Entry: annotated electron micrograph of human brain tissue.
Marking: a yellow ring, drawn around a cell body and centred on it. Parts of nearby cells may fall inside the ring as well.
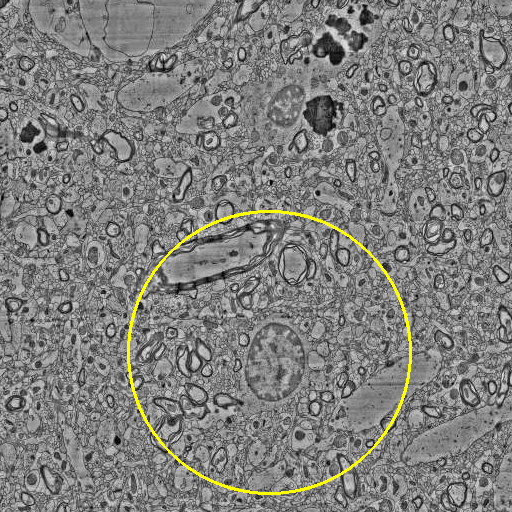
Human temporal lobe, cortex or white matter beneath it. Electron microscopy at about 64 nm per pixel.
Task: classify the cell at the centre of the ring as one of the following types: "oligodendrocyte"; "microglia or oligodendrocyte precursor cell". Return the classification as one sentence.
The marked cell is classified as an oligodendrocyte.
